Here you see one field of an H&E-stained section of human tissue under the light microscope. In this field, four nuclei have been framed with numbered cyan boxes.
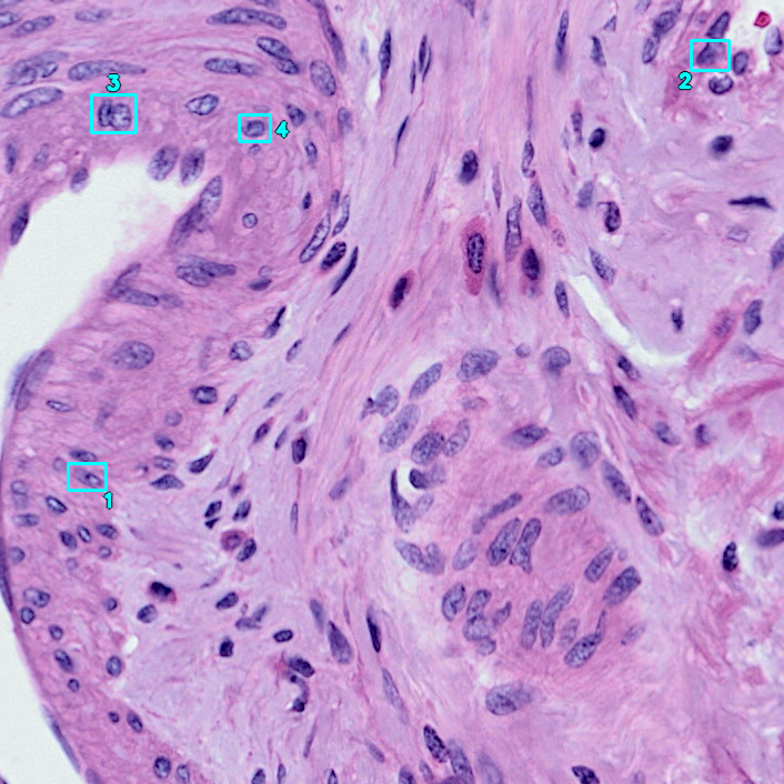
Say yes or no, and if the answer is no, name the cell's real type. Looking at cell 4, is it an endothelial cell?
No, it is a smooth muscle cell.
